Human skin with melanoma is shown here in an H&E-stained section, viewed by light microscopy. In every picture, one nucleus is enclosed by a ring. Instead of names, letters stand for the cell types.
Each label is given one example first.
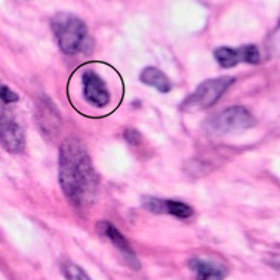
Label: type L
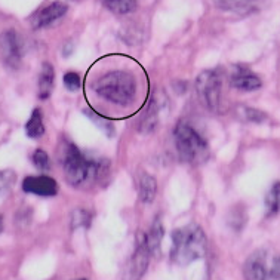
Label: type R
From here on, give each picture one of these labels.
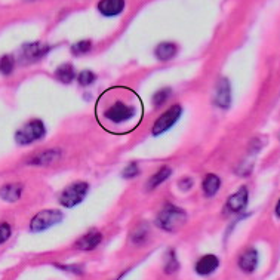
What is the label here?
type L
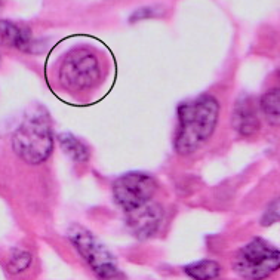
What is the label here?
type R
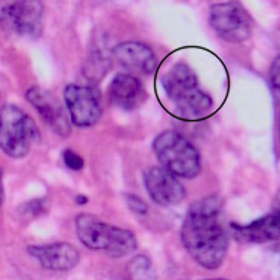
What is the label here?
type R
